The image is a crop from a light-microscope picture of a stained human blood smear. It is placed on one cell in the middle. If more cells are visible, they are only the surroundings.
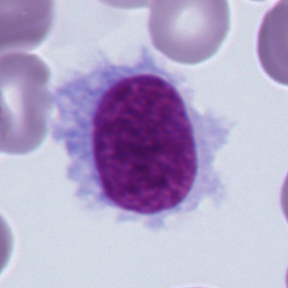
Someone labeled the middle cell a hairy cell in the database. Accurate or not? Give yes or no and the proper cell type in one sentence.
Yes, the cell in the exact middle is a hairy cell.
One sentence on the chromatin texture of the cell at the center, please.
Coarse clumps are absent, and the chromatin is fine throughout.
